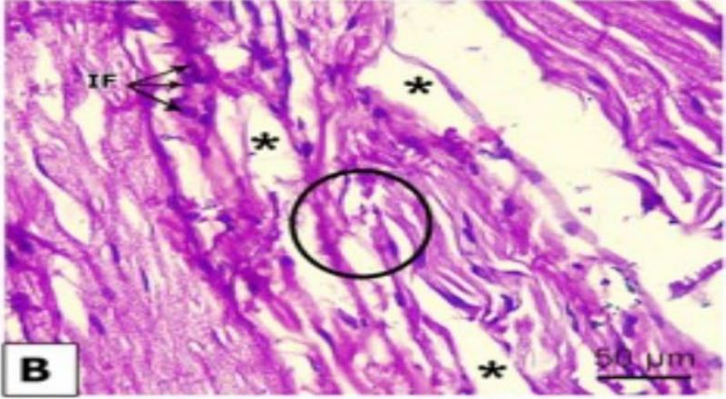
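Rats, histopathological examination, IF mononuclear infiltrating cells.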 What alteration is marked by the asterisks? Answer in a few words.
separation between the nerve fibers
